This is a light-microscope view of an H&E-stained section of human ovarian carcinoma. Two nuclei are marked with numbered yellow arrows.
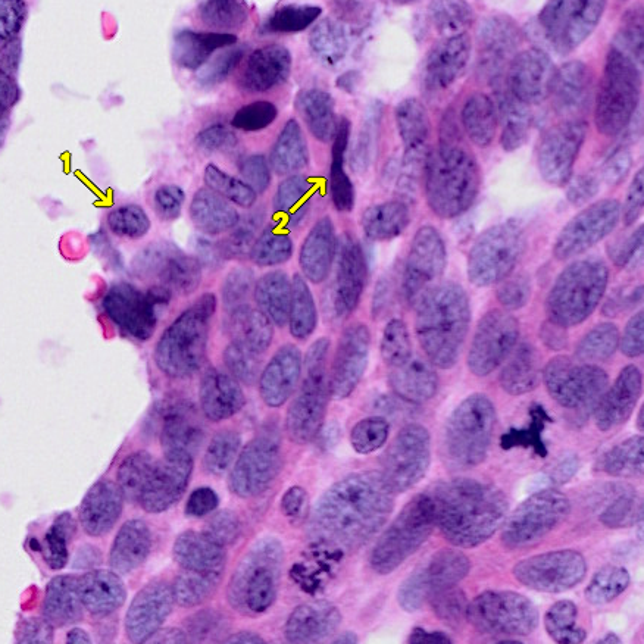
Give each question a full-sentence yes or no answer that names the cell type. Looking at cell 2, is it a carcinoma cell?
Yes, looking at number 2, that cell is a carcinoma cell.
